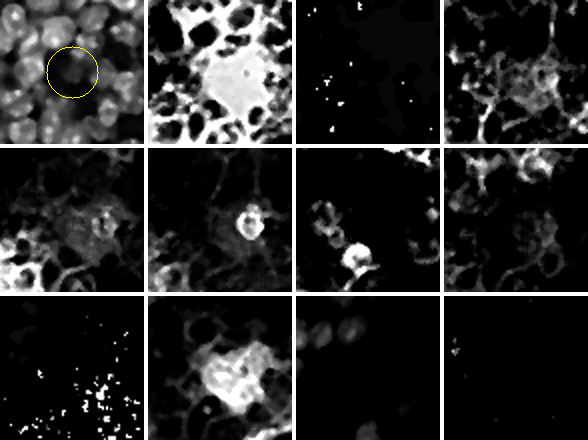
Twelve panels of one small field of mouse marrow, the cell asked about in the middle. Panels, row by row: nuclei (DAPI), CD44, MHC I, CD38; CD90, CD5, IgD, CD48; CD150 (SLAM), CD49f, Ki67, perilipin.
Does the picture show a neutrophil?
Yes.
